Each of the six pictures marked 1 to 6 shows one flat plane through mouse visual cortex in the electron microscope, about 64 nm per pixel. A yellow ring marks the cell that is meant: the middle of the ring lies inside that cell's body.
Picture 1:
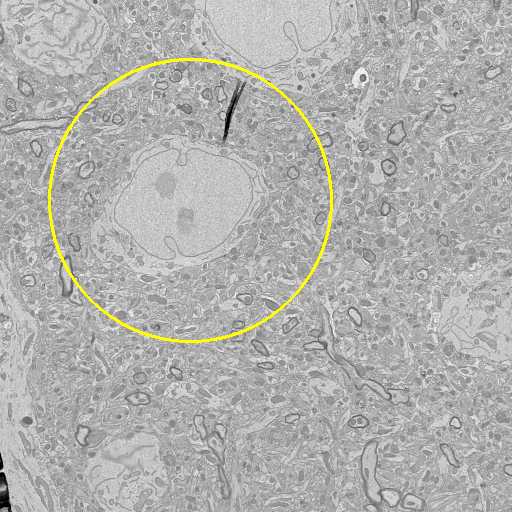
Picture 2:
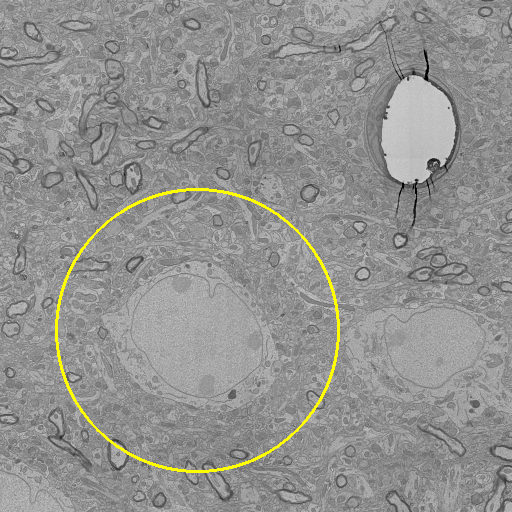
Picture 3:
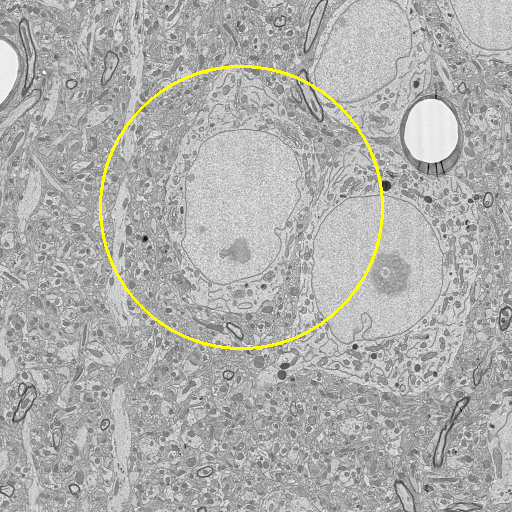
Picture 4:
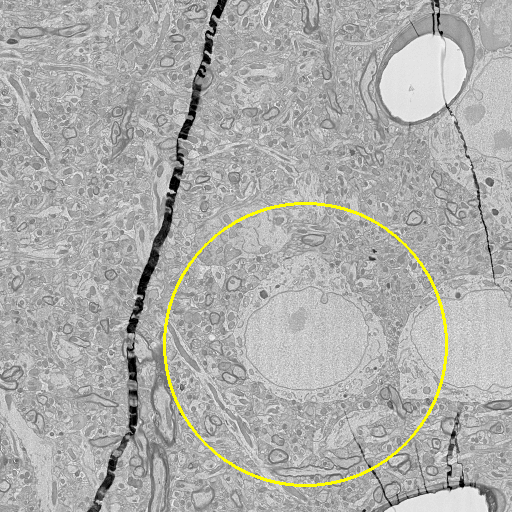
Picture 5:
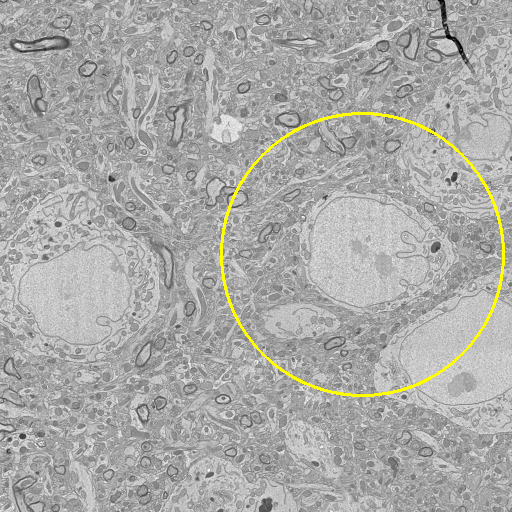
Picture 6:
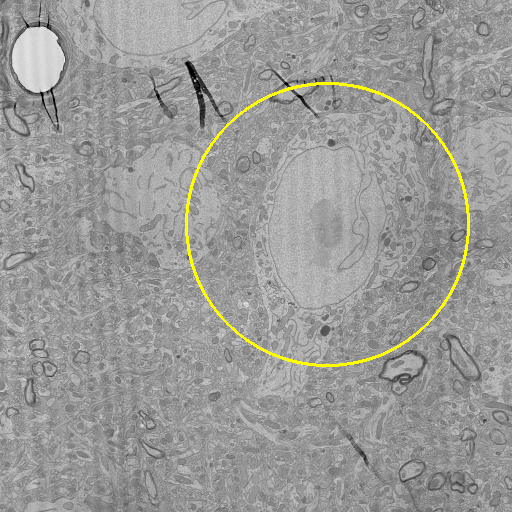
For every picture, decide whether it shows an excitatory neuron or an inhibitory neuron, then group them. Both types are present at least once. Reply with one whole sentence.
Pictures 1, 2, 3 and 4 show excitatory neurons; pictures 5 and 6 show inhibitory neurons.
